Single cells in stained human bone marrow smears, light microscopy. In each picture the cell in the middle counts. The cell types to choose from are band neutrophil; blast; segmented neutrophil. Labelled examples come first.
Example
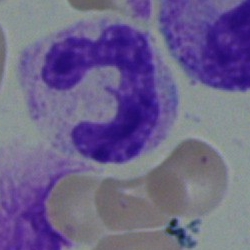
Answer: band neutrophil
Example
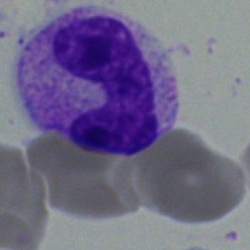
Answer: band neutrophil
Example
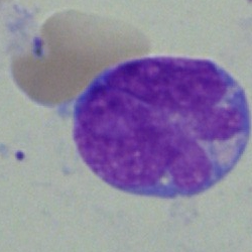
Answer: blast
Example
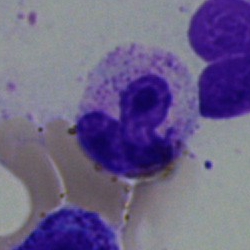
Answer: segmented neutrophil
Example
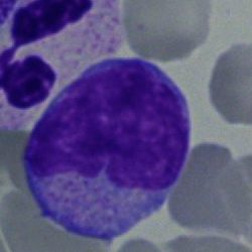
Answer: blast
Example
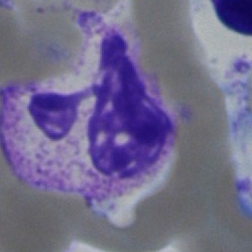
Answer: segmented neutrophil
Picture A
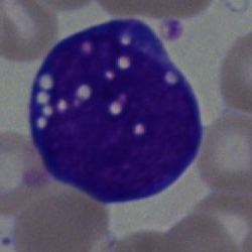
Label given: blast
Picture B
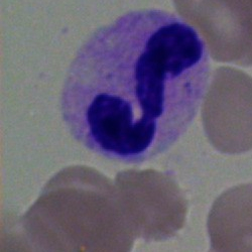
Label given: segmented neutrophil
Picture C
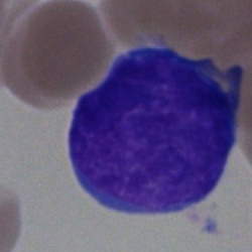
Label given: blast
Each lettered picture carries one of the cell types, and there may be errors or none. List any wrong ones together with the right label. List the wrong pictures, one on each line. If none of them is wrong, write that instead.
All correct.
